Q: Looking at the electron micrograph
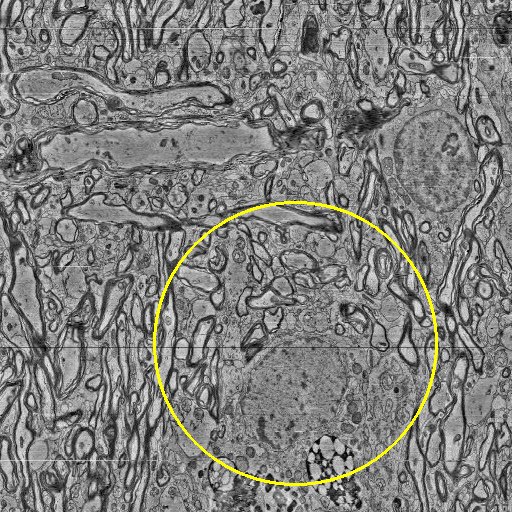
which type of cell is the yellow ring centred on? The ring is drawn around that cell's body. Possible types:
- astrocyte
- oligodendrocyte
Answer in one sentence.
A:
The yellow ring is centred on an astrocyte.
